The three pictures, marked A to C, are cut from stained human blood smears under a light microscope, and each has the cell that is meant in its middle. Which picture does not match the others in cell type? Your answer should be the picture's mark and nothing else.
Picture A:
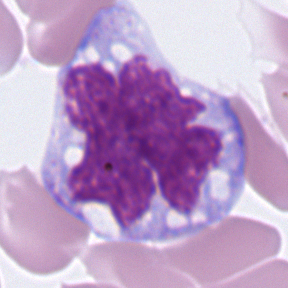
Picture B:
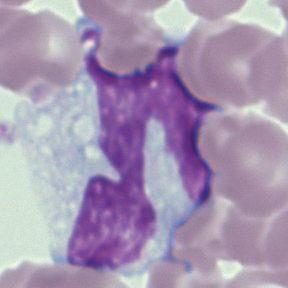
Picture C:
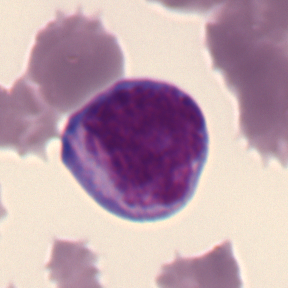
C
